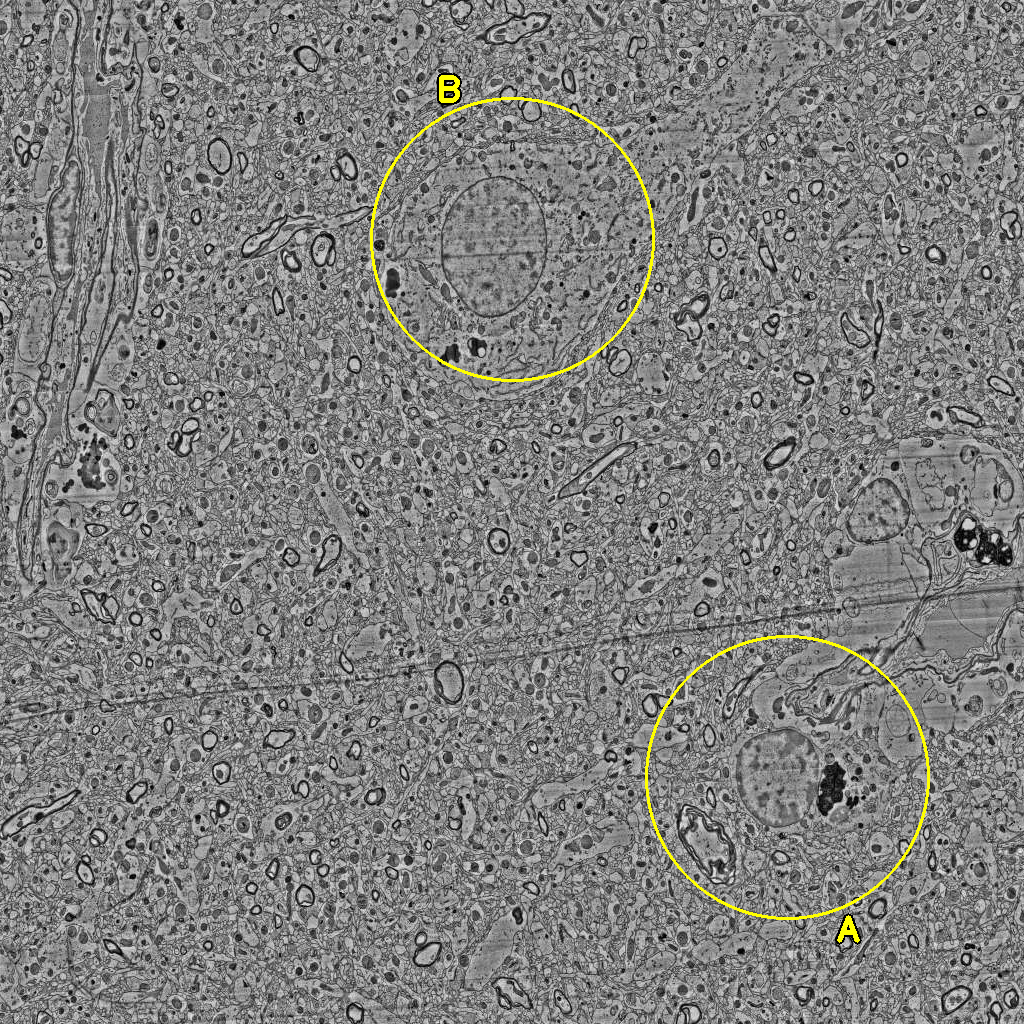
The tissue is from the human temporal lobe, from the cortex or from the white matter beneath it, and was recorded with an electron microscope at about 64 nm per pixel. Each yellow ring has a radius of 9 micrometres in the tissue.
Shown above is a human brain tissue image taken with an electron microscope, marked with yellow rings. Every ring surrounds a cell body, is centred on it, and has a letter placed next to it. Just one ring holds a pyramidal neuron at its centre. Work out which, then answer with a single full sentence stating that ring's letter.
Ring B is the one whose centre holds a cell of that kind.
